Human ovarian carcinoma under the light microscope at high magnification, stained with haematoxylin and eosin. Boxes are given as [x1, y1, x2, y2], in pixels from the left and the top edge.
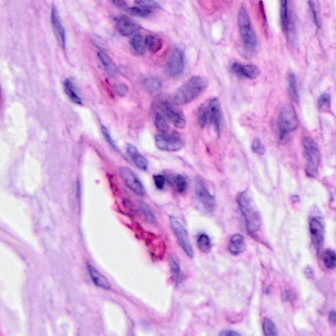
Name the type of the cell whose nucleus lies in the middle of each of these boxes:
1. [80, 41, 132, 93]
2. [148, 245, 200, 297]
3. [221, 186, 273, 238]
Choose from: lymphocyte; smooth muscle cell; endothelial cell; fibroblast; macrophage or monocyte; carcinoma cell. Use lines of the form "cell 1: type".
cell 1: endothelial cell
cell 2: endothelial cell
cell 3: fibroblast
